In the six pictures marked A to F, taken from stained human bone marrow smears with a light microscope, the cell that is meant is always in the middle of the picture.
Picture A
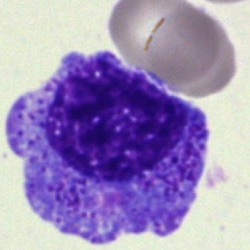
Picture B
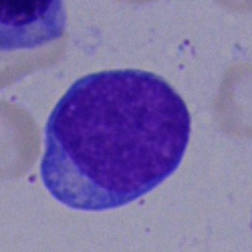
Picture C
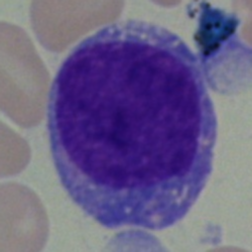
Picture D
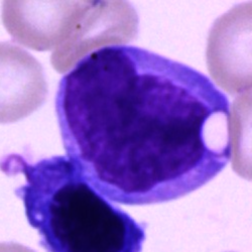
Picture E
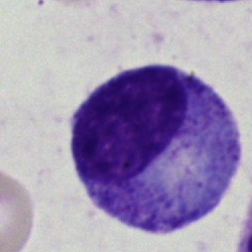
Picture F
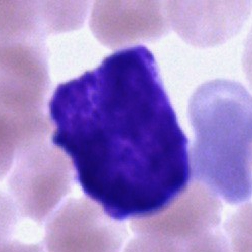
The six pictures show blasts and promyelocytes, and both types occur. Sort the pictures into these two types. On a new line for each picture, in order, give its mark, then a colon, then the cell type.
A: promyelocyte
B: blast
C: blast
D: blast
E: promyelocyte
F: blast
